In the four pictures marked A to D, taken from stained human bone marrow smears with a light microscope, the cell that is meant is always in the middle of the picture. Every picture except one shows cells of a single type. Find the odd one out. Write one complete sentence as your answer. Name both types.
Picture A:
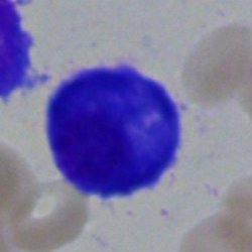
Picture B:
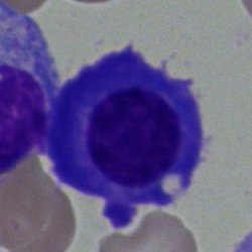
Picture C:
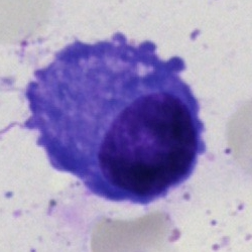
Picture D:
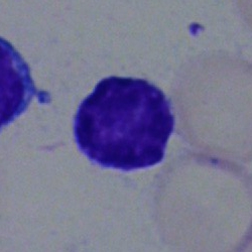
The different one is picture D; it shows a lymphocyte, whereas all the others show plasma cells.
